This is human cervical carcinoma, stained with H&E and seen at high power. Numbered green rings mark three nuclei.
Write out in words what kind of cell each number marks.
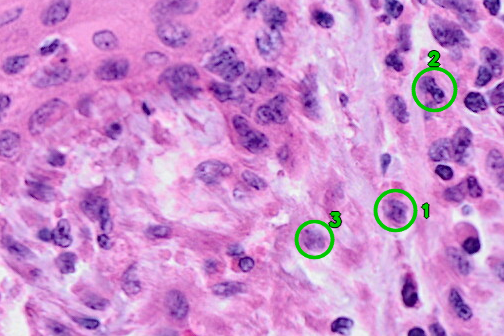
Cell 1 is a macrophage or monocyte. Cell 2 is a lymphocyte. Cell 3 is a fibroblast.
